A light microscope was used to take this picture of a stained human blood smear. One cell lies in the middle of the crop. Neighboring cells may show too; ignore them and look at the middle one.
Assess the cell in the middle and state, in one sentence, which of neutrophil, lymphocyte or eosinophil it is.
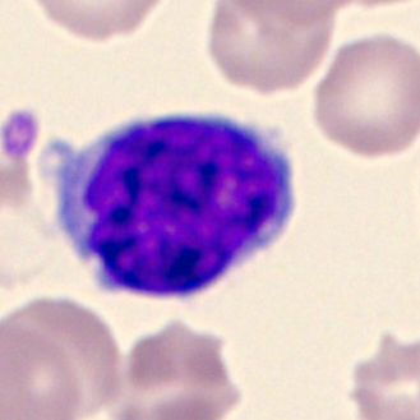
By classification, the middle cell of this crop is a lymphocyte.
